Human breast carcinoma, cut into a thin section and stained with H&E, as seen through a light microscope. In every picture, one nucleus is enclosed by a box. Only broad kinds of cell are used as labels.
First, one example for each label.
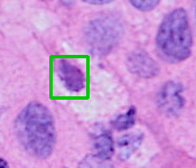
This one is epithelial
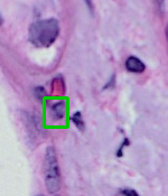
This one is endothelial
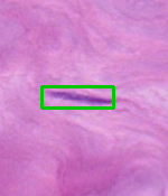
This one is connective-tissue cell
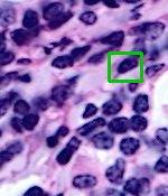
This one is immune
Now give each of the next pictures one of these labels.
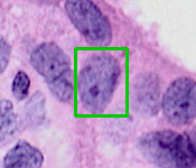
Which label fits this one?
epithelial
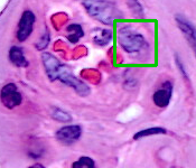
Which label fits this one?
endothelial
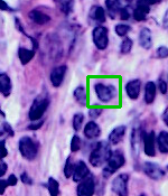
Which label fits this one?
immune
